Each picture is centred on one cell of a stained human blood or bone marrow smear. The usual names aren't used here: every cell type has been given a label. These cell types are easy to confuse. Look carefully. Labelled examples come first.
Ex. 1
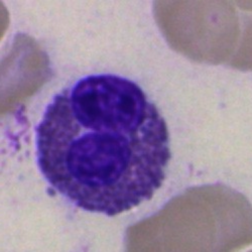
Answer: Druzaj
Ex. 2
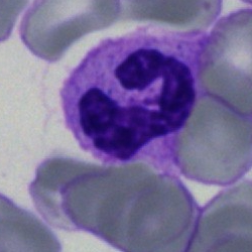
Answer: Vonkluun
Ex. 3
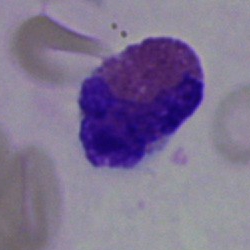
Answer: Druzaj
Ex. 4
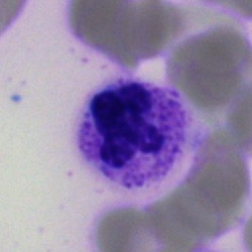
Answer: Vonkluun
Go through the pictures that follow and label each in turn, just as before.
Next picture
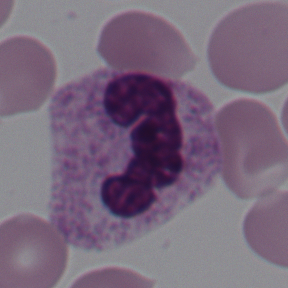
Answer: Vonkluun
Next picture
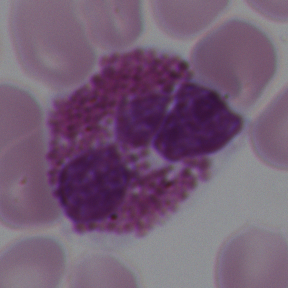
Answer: Druzaj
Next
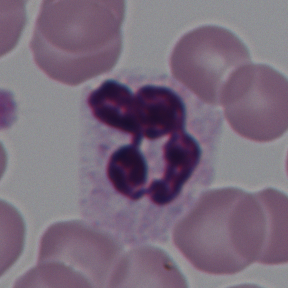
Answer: Vonkluun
